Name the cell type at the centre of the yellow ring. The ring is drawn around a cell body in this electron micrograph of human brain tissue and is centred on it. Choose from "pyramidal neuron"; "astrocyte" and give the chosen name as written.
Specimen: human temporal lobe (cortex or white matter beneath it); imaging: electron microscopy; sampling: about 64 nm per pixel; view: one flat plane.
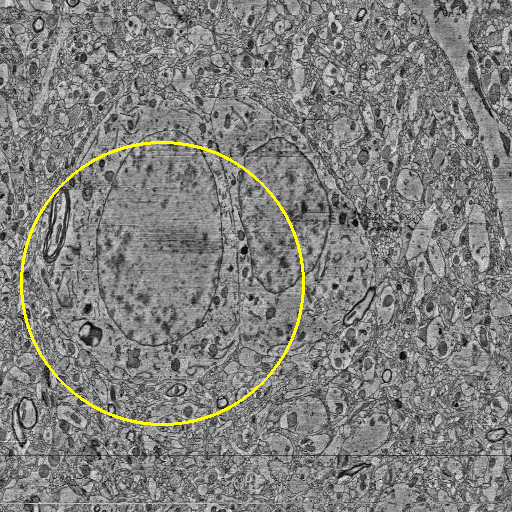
pyramidal neuron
